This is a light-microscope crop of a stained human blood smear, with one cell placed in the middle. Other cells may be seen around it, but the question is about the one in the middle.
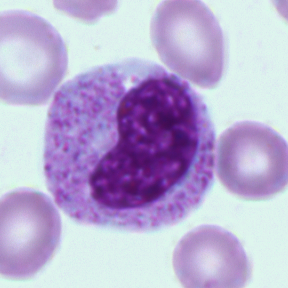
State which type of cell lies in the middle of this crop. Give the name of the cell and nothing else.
metamyelocyte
